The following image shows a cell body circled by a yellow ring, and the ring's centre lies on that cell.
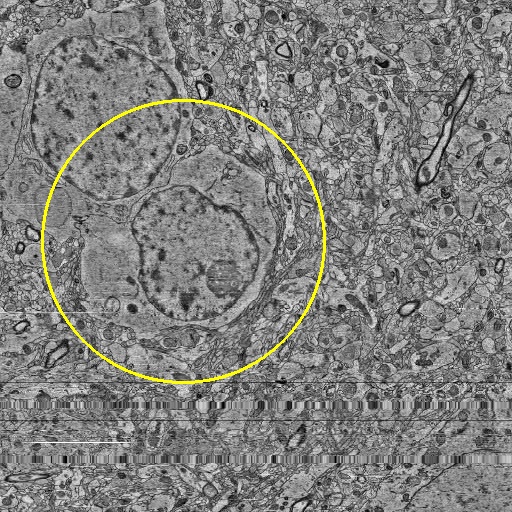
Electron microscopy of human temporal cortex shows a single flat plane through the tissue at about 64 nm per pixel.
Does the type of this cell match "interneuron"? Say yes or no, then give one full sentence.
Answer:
No, the cell at the ring's centre in this picture has a different type.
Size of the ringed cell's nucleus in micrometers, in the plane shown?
Approximately 9 micrometers across in this plane.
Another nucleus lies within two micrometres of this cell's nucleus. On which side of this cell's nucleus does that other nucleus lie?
That other nucleus is to the upper left of it.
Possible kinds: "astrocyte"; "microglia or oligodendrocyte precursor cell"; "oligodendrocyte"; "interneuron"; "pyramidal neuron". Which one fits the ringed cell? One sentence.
The cell shown in the ring is an astrocyte.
